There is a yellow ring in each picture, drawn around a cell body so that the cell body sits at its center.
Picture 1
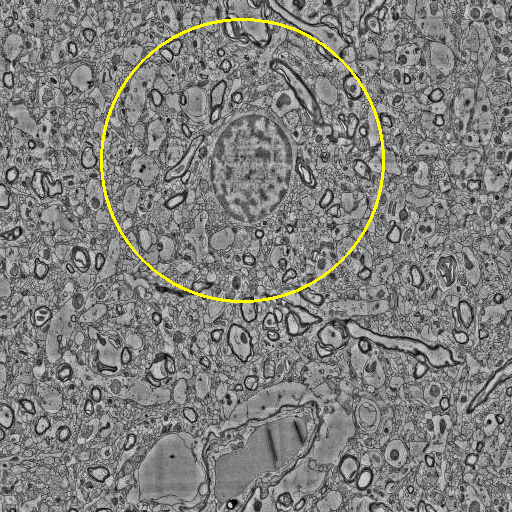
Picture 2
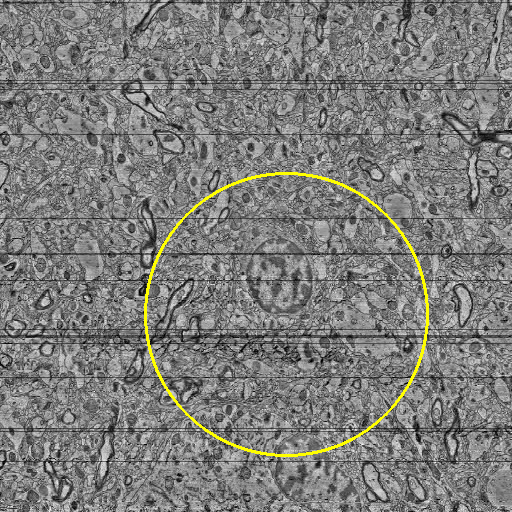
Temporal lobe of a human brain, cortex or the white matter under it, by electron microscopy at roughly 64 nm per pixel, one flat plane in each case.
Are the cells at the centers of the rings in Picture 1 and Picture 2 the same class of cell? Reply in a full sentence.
Yes, the two cells are the same class of cell.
